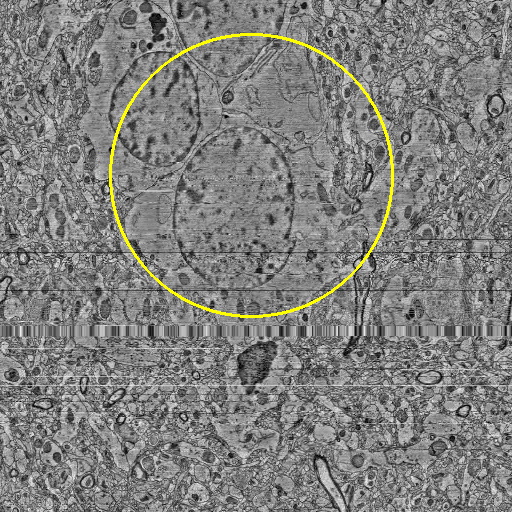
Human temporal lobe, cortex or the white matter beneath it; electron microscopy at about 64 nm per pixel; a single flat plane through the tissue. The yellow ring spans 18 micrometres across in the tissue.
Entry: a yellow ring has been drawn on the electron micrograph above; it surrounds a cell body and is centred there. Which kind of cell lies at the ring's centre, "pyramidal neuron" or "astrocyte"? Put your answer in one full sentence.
The cell sitting at the ring's centre is an astrocyte in the micrograph above.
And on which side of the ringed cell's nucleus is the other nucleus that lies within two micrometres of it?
That other nucleus is to the upper left of it.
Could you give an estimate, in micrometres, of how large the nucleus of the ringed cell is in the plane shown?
About 10 by 8 micrometers for the nucleus, in this plane.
